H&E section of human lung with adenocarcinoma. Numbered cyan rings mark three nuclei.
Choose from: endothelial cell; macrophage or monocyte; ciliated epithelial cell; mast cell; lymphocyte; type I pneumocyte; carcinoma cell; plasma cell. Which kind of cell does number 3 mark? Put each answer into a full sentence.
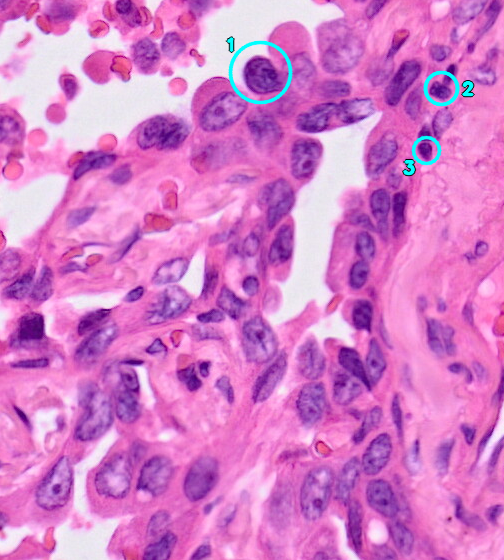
The cell that carries the label 3 is a lymphocyte.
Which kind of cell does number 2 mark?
The identity of cell 2 is that of a lymphocyte.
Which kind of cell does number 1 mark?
In the tissue shown, cell 1 is a carcinoma cell.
